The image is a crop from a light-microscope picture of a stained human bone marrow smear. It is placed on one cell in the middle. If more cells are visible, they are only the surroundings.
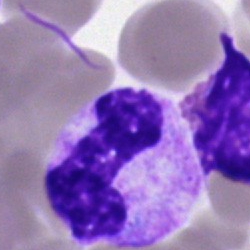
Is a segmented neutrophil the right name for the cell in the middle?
no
